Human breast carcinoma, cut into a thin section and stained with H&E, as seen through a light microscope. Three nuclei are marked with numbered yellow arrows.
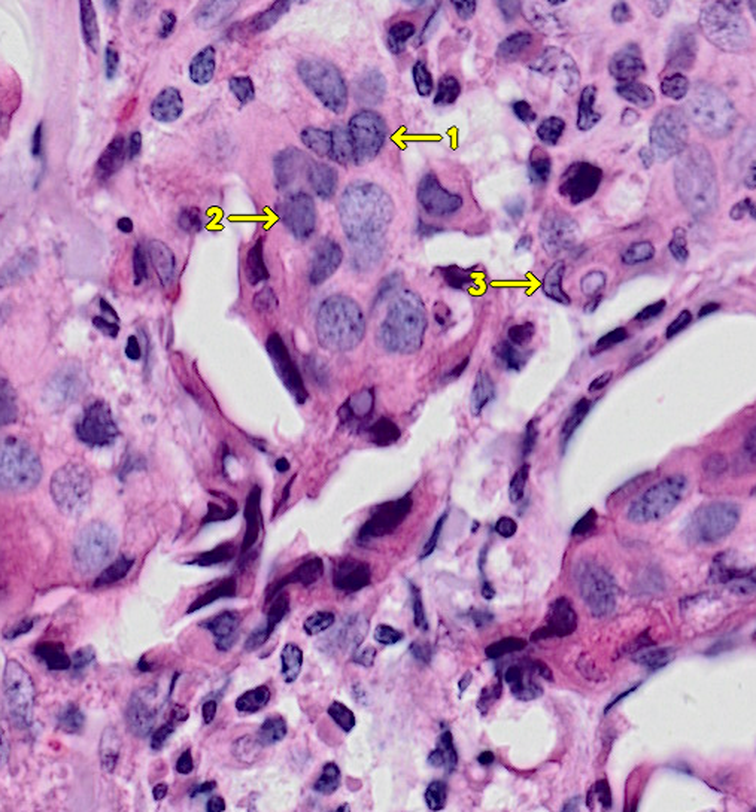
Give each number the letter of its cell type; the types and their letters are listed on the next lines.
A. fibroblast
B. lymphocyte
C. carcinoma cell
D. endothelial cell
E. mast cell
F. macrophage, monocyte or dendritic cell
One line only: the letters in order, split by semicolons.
C; C; D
